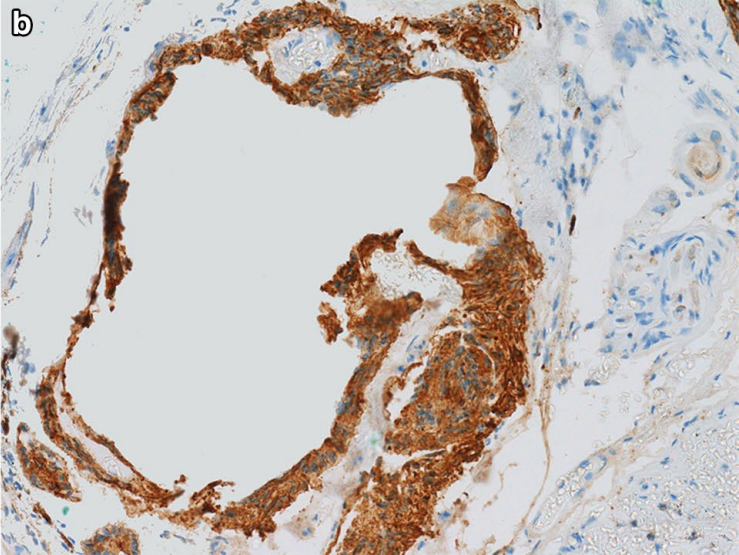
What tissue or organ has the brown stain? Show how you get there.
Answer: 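A band of cells rimming an empty space is stained brown. The surrounding loose stroma with spindle nuclei stays unstained blue.
Answer: epithelium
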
